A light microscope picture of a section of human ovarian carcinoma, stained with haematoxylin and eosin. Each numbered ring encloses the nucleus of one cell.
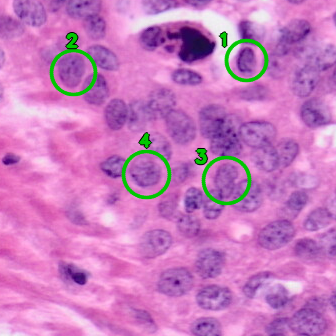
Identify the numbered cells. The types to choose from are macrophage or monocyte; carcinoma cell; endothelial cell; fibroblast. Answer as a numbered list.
1. macrophage or monocyte
2. carcinoma cell
3. carcinoma cell
4. carcinoma cell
